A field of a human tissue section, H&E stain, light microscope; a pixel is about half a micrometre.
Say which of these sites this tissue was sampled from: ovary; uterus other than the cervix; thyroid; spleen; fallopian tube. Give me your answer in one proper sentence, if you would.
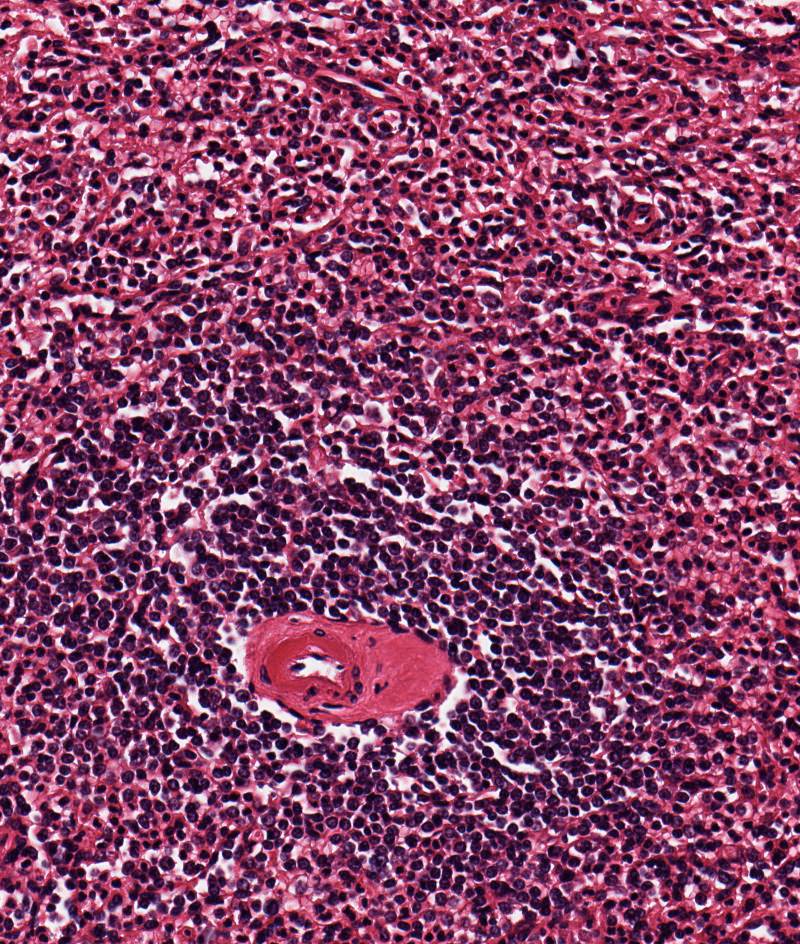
The source of this tissue sample is the spleen.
